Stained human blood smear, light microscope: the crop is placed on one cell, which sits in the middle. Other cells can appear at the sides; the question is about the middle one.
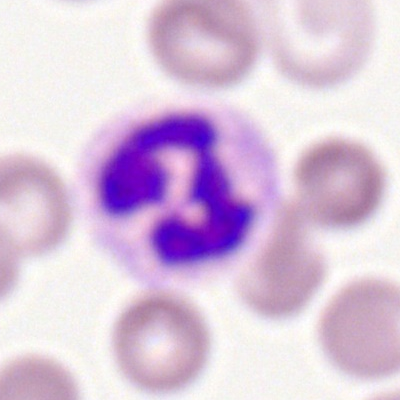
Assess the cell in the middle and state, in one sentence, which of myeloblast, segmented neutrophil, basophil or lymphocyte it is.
The cell at the middle of the frame should be recorded as a segmented neutrophil.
